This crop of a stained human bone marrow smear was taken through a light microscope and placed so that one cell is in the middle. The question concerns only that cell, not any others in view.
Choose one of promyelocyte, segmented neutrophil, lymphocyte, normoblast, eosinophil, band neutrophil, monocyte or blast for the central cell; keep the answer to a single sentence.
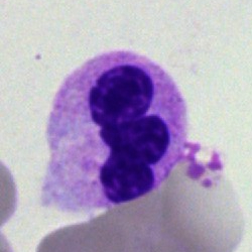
The cell under consideration, at the middle of the crop, is a segmented neutrophil.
